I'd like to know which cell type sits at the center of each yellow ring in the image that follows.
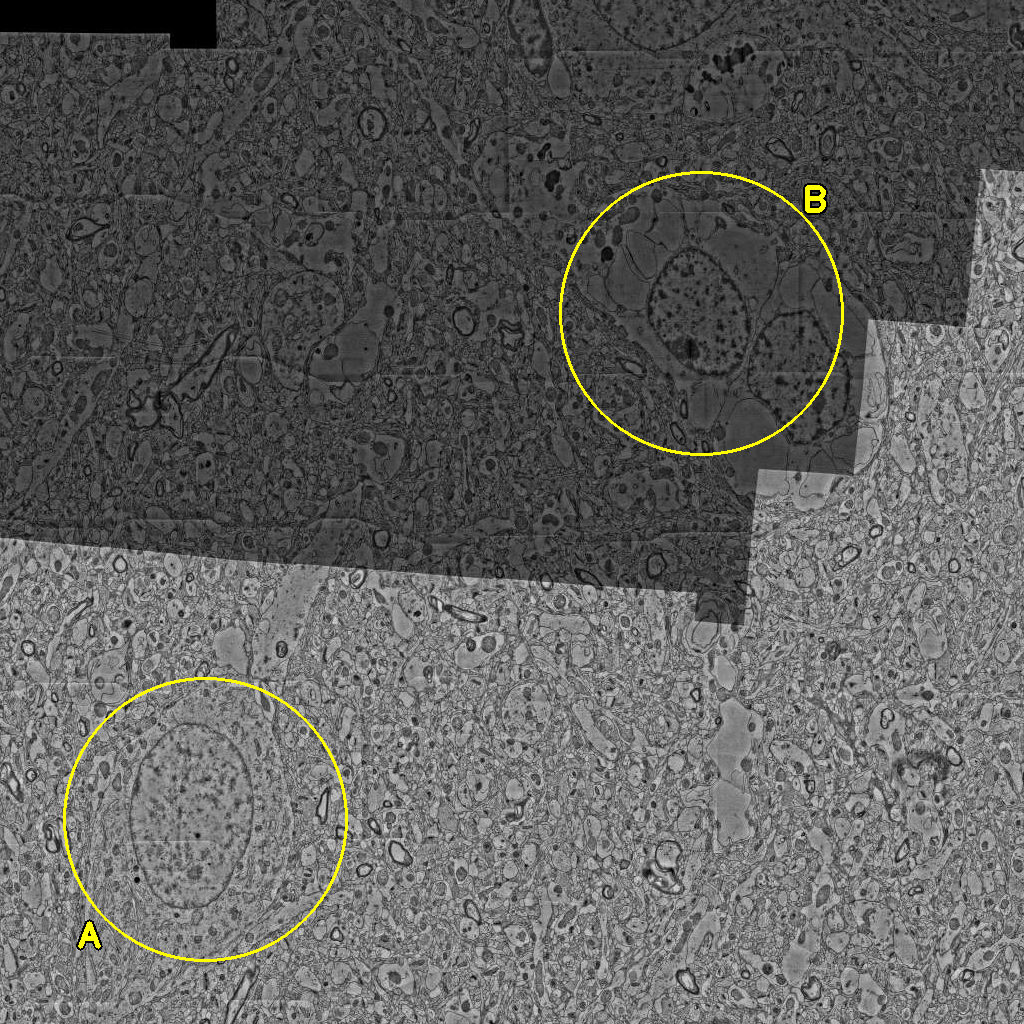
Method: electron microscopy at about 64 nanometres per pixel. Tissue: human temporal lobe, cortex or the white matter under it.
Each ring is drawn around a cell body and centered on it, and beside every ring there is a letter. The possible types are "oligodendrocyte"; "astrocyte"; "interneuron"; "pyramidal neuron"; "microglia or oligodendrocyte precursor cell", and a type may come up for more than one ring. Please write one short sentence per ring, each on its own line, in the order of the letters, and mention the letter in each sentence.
The cell at the center of ring A is an interneuron.
The cell at the center of ring B is an astrocyte.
